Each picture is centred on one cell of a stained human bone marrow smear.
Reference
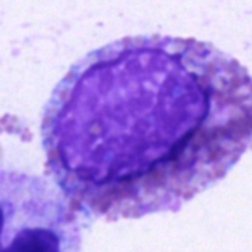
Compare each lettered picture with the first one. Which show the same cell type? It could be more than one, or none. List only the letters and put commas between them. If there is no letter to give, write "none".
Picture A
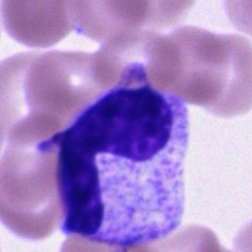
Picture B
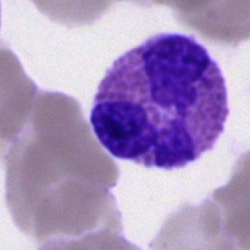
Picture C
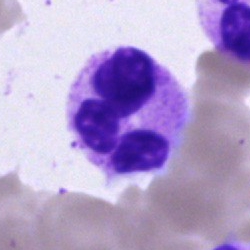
B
